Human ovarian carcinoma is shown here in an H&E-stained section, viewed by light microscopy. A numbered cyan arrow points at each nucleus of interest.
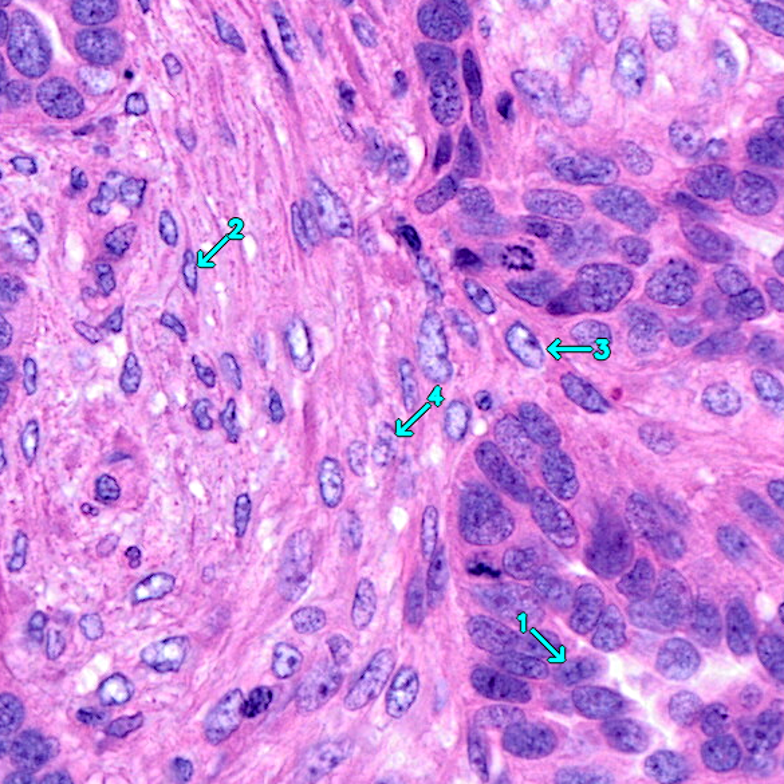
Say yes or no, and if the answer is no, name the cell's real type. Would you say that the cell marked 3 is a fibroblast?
Yes.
